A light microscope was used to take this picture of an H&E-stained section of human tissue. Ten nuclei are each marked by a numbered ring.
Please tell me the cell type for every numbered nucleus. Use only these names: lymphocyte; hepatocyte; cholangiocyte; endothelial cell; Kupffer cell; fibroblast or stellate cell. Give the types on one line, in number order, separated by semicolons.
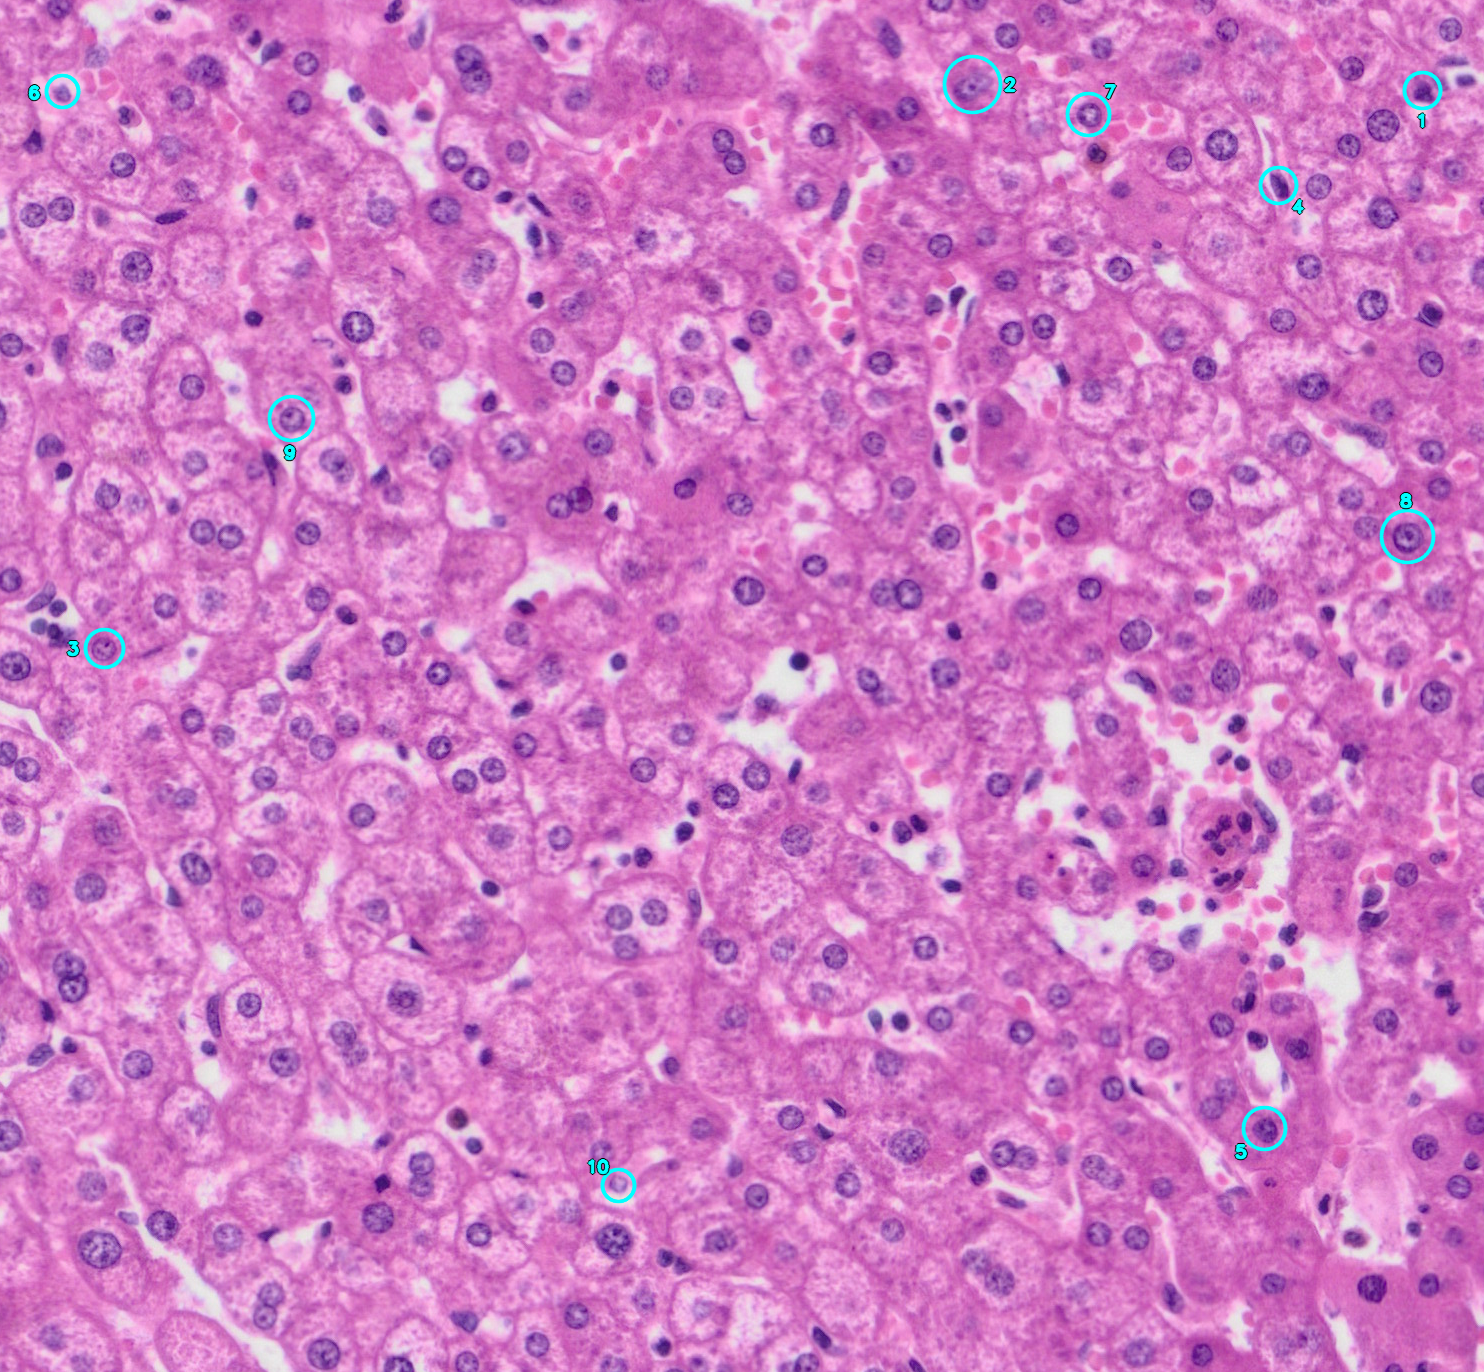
fibroblast or stellate cell; hepatocyte; hepatocyte; Kupffer cell; hepatocyte; lymphocyte; hepatocyte; hepatocyte; hepatocyte; Kupffer cell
